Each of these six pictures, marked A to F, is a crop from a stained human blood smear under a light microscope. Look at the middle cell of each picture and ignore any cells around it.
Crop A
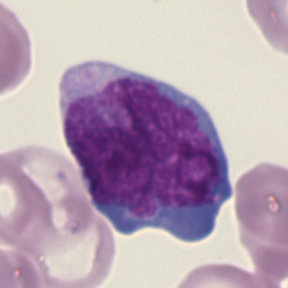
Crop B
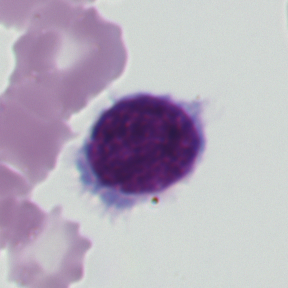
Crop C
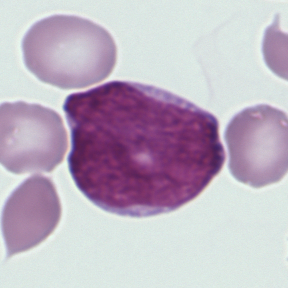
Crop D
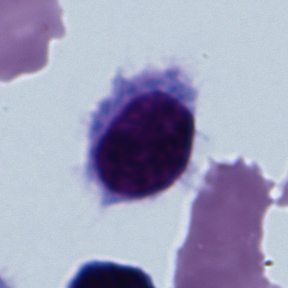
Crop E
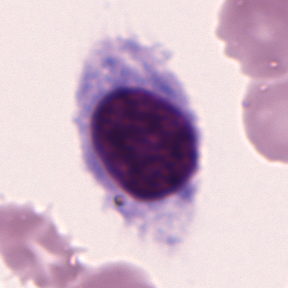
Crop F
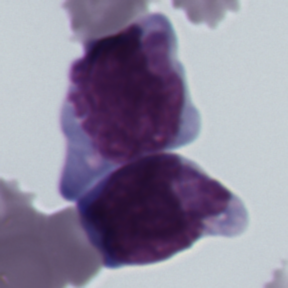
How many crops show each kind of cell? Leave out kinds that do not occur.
myeloblast: 3
hairy cell: 3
